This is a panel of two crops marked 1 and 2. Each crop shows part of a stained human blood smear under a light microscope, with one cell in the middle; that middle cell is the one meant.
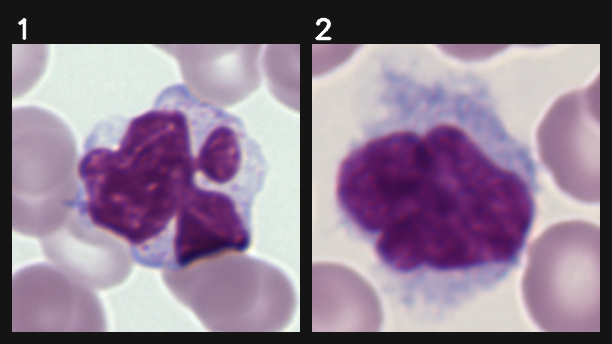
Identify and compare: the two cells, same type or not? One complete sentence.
No, as for crop 1, it shows a large granular lymphocyte, and crop 2 shows a hairy cell.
